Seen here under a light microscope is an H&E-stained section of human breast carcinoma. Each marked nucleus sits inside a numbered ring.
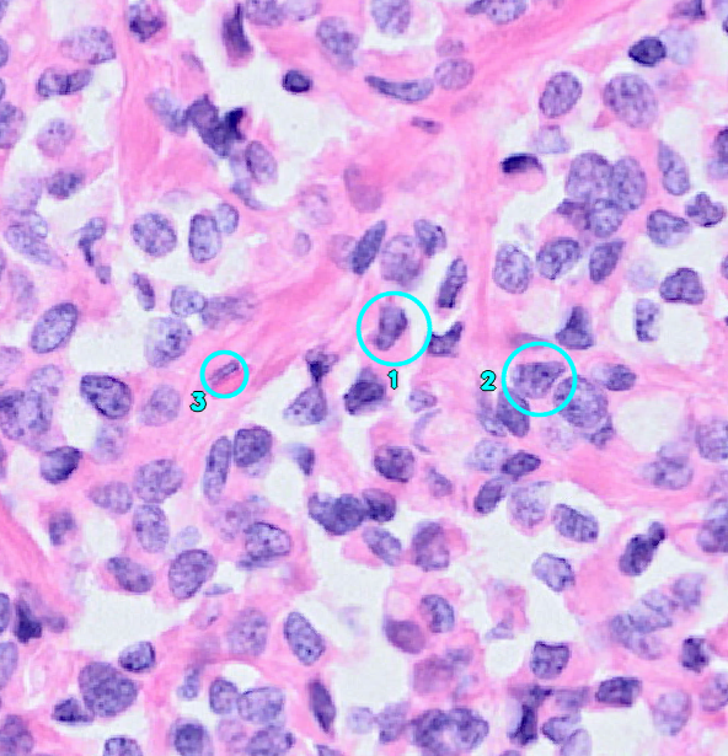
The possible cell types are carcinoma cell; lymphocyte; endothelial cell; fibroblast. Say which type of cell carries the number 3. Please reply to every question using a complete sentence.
In this section, the cell tagged 3 is an endothelial cell.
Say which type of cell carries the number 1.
Among the marked cells, number 1 is a carcinoma cell.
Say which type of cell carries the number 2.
In the tissue shown, cell 2 is a carcinoma cell.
